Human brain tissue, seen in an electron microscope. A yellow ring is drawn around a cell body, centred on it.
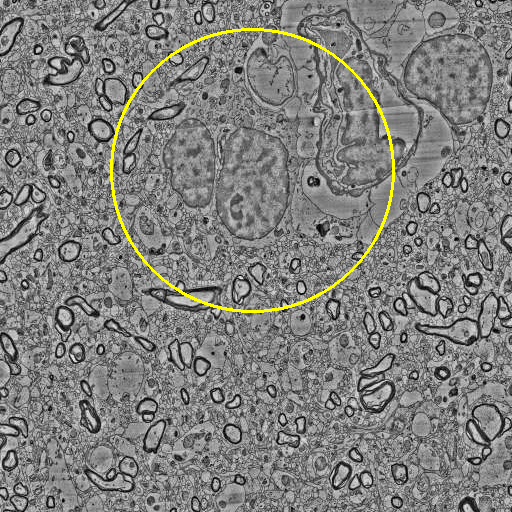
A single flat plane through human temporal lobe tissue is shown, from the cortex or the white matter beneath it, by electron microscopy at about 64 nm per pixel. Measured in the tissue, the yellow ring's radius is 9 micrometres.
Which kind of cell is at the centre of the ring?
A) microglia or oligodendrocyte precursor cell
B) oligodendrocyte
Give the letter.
B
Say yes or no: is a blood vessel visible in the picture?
Yes, one appears.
